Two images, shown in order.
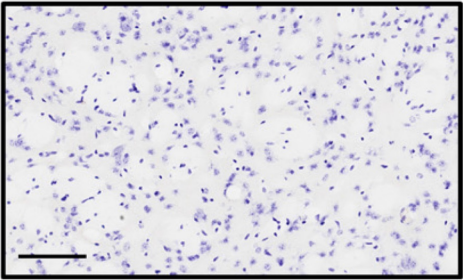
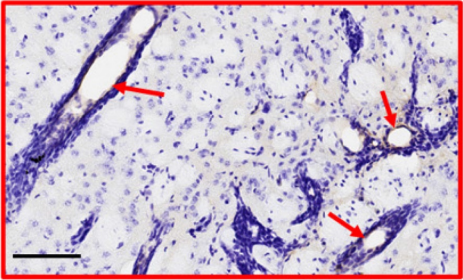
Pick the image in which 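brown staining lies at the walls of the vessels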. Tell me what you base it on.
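First image: only violet nuclei on pale tissue, no brown tint. Second image: a faint brown tint along and around the open vessels.
Hence: the second image.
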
